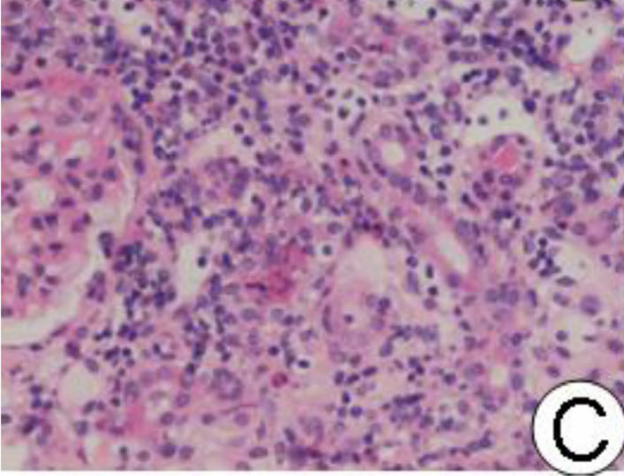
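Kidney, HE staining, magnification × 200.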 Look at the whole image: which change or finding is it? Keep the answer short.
Lymphoid and monocytes infiltration.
